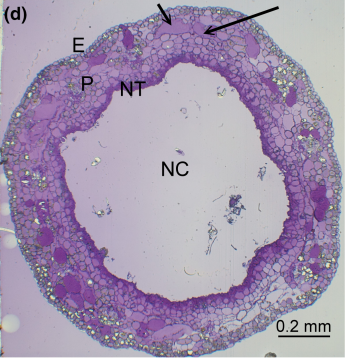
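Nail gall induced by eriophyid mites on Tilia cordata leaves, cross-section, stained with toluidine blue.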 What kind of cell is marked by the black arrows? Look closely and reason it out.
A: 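Idioblasts. The arrows point into the purple-stained wall of the ring-shaped section. Scattered large darkly stained cells lie within the wall.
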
